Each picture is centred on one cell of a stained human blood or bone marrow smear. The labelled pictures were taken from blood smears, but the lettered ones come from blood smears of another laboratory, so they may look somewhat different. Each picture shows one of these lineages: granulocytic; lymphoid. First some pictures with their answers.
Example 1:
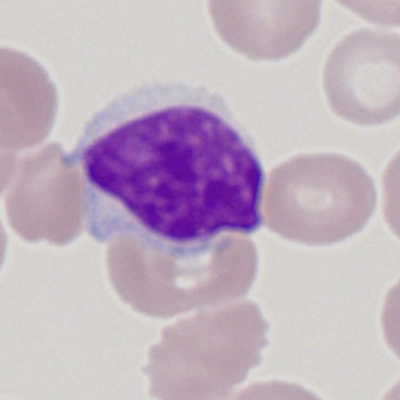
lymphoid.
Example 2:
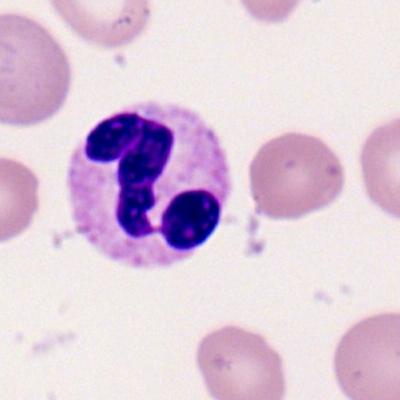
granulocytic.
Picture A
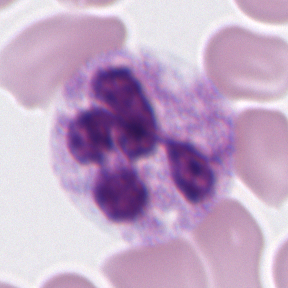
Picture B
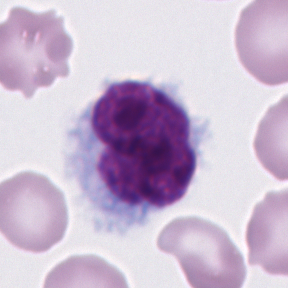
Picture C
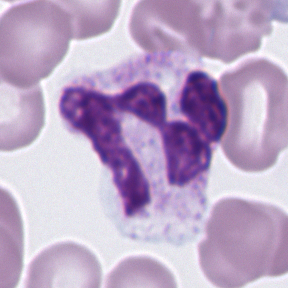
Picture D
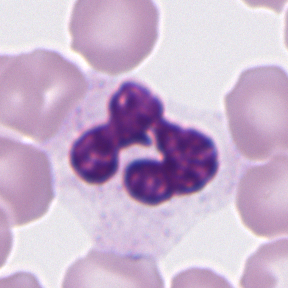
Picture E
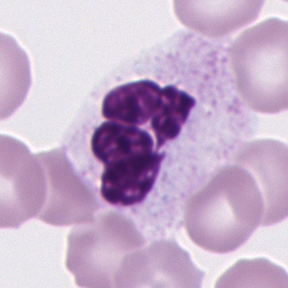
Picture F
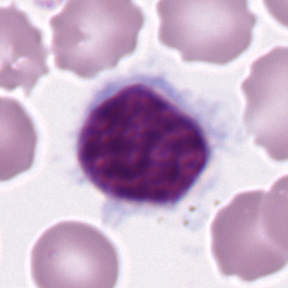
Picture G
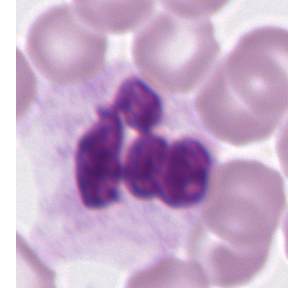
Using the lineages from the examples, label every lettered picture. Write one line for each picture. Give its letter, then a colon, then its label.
A: granulocytic.
B: lymphoid.
C: granulocytic.
D: granulocytic.
E: granulocytic.
F: lymphoid.
G: granulocytic.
